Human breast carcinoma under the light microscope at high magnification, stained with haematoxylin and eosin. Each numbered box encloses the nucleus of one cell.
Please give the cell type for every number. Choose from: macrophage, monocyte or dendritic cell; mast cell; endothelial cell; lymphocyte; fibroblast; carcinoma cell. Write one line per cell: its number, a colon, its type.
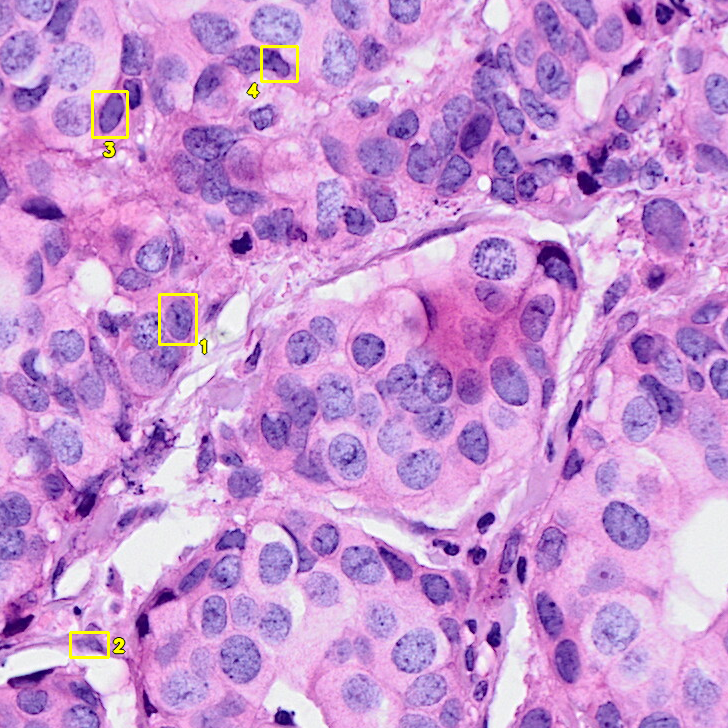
1: carcinoma cell
2: fibroblast
3: carcinoma cell
4: carcinoma cell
